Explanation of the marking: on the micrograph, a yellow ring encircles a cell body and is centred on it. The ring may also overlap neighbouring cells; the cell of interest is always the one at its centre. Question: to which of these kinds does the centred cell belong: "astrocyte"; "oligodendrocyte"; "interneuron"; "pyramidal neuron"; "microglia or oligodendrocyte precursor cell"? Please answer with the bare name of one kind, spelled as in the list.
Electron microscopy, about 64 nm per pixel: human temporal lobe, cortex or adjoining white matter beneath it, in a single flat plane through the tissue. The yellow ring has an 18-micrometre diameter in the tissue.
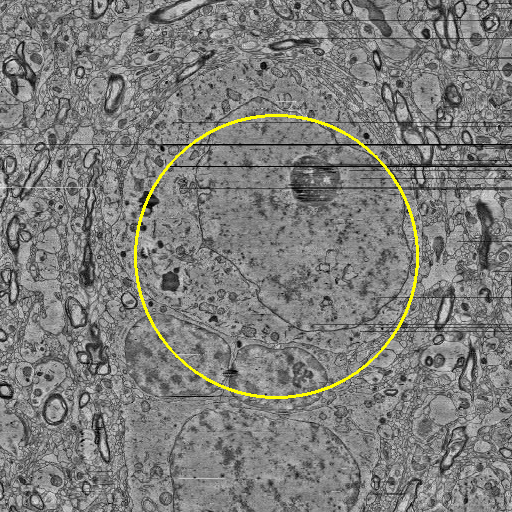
pyramidal neuron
